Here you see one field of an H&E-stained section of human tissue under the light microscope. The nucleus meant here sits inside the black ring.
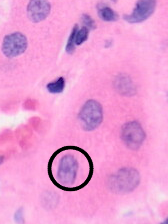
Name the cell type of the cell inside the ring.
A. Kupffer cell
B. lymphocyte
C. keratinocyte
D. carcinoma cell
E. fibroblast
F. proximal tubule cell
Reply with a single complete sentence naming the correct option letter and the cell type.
It is as option F has it, the cell inside the ring being a proximal tubule cell.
